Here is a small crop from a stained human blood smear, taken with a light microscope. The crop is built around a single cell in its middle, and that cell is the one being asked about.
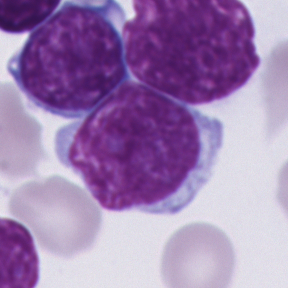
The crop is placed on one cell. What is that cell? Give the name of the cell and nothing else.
myeloblast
